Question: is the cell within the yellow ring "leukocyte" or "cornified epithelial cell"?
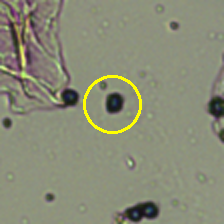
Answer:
leukocyte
